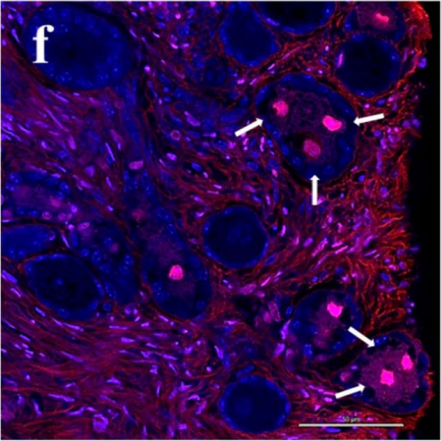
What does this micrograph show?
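Large round oocytes appear as dark blue rounded areas, each rimmed by a thin layer of small cells. Some oocytes contain one or more bright magenta spots, while others nearby hold no magenta and stay evenly dark blue.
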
